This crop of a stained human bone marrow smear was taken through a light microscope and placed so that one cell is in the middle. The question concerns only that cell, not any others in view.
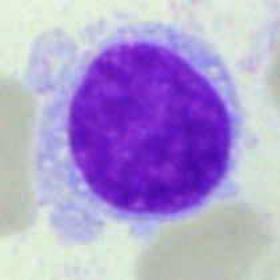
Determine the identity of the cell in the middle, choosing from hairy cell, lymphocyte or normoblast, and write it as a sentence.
As for the central cell, it is a hairy cell.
